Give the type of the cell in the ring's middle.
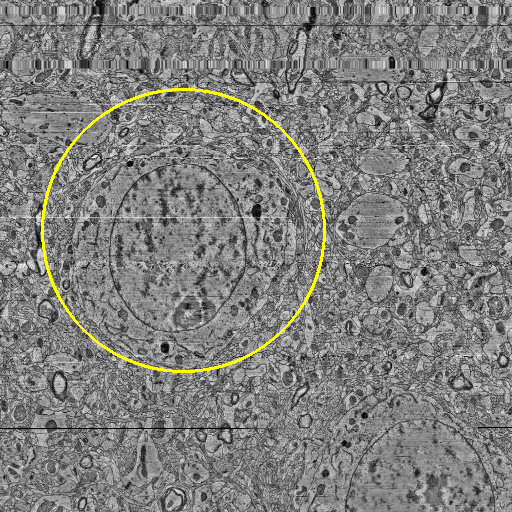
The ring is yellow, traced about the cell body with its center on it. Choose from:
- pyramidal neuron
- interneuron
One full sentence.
Here, a pyramidal neuron is the cell lying at the center of the yellow ring.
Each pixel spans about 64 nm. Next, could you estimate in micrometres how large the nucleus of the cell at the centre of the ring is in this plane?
In this plane, the nucleus is roughly 11 by 9 micrometres.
